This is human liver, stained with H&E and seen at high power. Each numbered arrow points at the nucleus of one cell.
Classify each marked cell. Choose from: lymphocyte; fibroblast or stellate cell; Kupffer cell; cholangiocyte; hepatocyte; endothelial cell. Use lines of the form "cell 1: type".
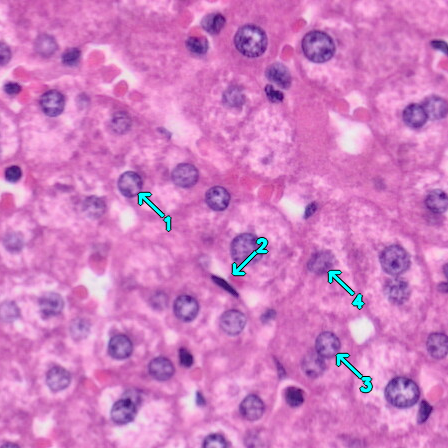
cell 1: hepatocyte
cell 2: endothelial cell
cell 3: hepatocyte
cell 4: hepatocyte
